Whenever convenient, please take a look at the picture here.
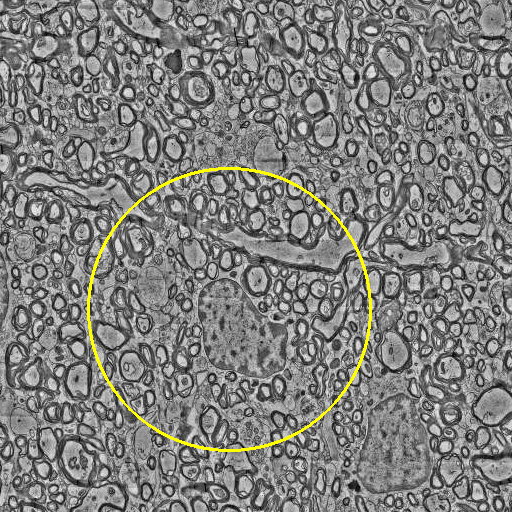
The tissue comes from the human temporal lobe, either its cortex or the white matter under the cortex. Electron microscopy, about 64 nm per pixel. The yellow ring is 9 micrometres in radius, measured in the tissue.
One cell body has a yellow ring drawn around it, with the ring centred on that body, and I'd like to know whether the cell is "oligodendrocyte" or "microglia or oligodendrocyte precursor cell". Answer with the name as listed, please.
microglia or oligodendrocyte precursor cell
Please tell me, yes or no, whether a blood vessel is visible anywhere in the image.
No, no vessel shows anywhere in the image.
